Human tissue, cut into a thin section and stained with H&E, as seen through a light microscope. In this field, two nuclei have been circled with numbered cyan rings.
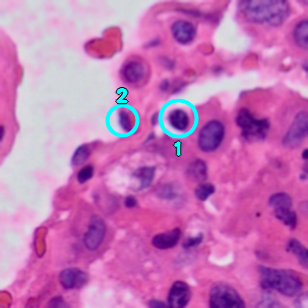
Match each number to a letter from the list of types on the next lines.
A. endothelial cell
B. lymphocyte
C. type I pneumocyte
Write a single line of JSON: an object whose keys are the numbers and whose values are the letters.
{"1": "B", "2": "A"}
